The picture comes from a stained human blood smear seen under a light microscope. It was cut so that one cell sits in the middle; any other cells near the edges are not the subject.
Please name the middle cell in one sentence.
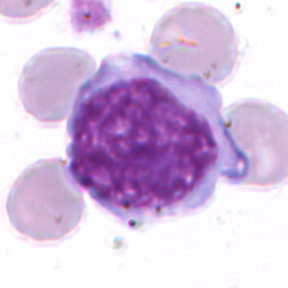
On this slide crop, the central cell is a plasma cell.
